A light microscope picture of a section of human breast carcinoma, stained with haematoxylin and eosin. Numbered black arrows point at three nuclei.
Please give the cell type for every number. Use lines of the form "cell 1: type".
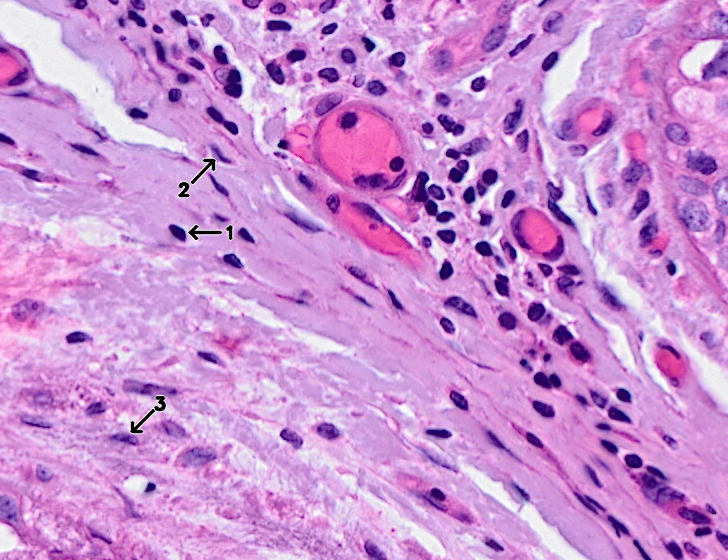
cell 1: lymphocyte
cell 2: fibroblast
cell 3: fibroblast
